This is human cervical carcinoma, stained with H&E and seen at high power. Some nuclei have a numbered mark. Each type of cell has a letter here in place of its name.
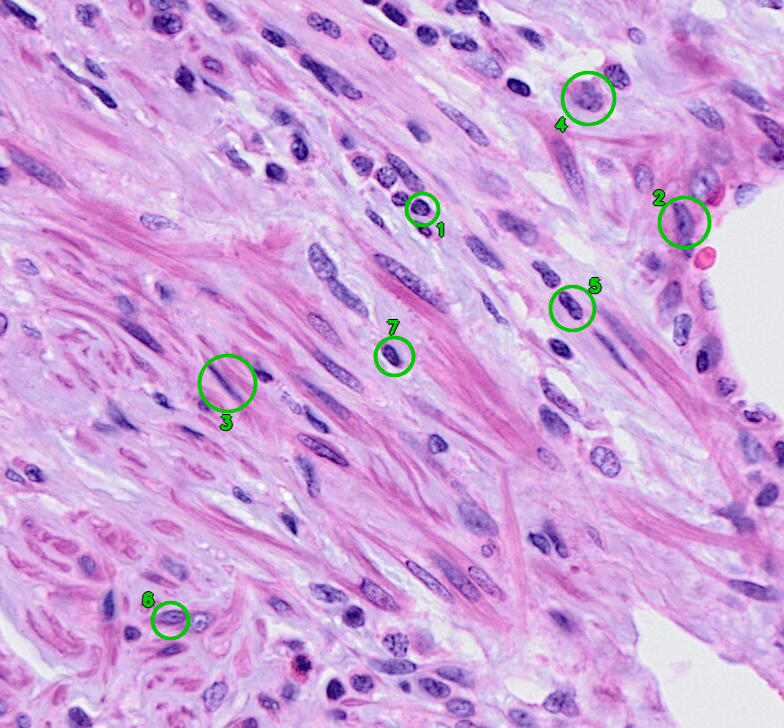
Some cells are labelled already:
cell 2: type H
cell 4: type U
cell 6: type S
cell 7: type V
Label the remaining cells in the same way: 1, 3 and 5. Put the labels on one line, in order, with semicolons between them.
type V; type S; type V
